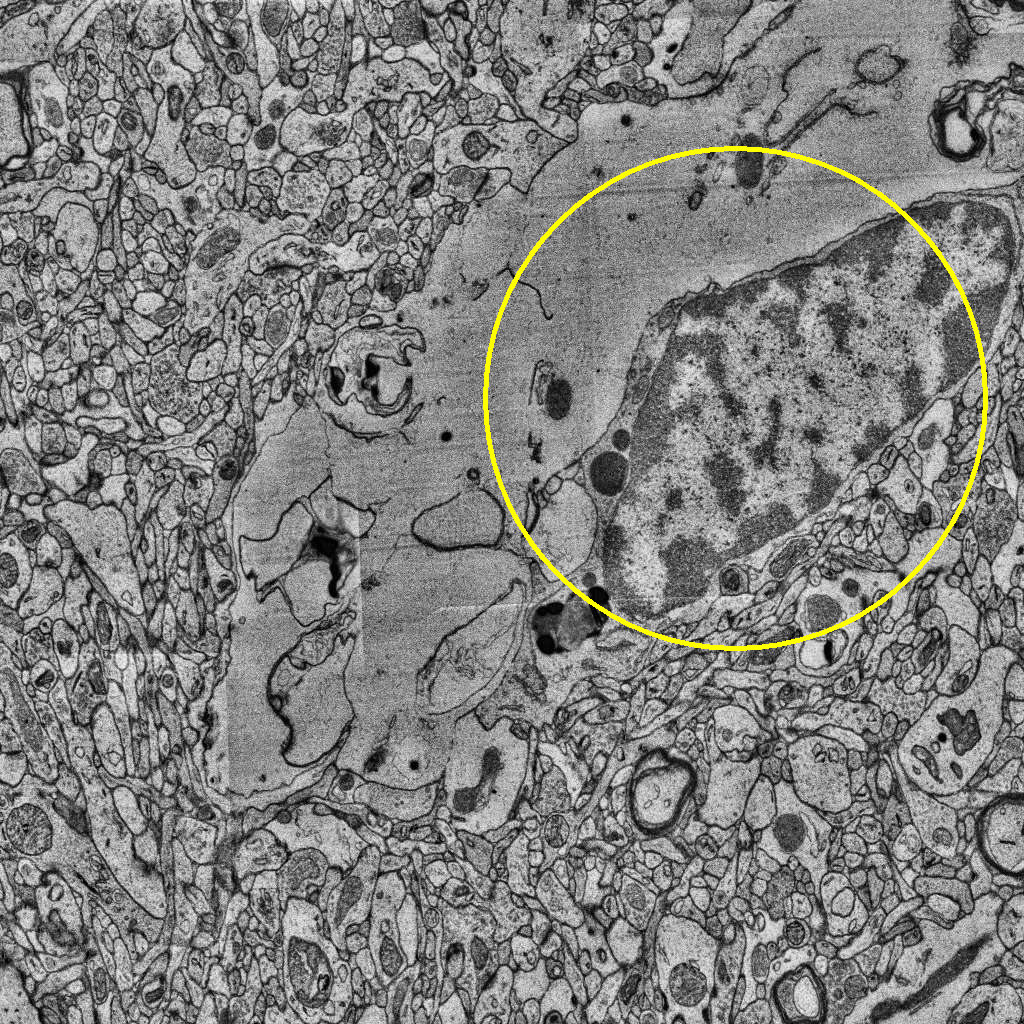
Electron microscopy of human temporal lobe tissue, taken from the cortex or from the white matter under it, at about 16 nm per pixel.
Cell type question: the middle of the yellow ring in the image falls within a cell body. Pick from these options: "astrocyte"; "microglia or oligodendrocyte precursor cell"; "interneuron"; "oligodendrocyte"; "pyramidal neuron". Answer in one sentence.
The cell body at the center of the ring belongs to a microglial cell or oligodendrocyte precursor cell.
